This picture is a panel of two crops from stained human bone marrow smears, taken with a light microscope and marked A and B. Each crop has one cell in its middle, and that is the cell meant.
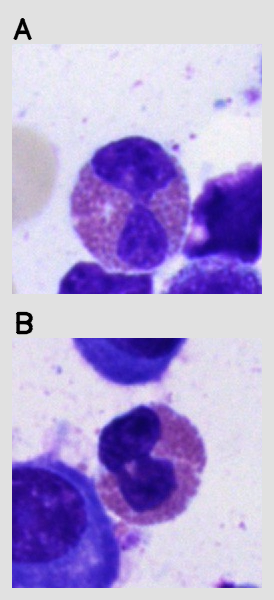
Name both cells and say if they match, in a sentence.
Yes, as for both crops, the cells shown are eosinophils.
